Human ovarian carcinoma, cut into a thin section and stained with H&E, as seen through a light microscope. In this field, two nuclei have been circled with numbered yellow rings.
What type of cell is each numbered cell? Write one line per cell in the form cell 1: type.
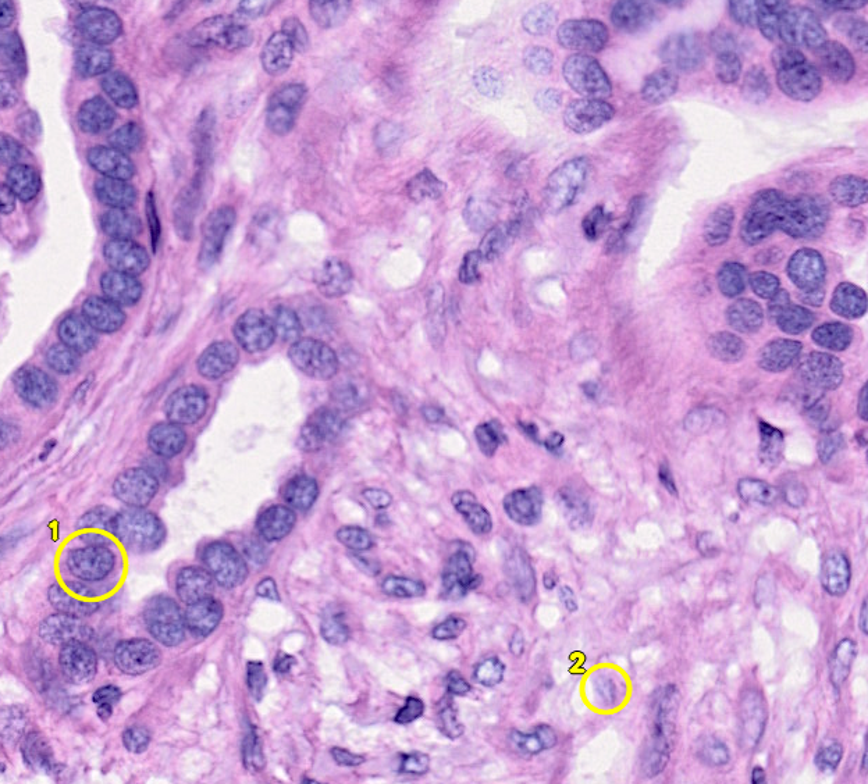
cell 1: carcinoma cell
cell 2: fibroblast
